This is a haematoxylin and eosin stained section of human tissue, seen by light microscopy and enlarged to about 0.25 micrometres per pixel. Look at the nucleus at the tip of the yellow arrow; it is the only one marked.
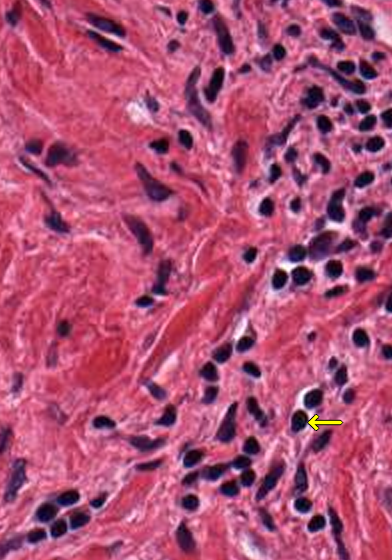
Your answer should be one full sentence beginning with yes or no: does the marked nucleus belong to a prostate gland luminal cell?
No, rather than a prostate gland luminal cell, it is a supporting cell that contains the marked nucleus.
